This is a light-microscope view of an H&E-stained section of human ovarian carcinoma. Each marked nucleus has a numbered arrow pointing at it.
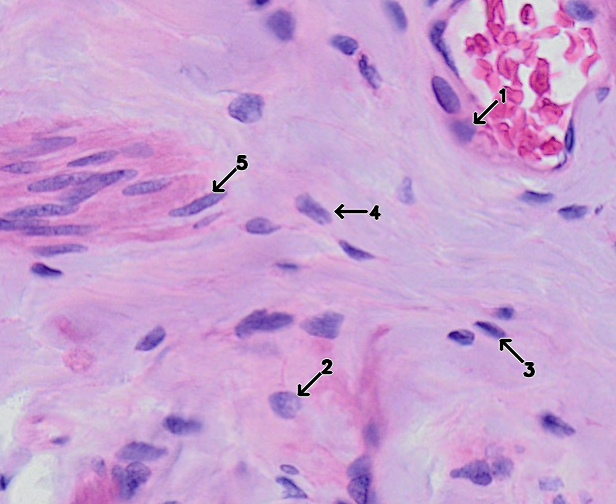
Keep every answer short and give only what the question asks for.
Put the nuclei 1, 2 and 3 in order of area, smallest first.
3, 1, 2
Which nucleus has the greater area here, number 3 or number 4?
4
